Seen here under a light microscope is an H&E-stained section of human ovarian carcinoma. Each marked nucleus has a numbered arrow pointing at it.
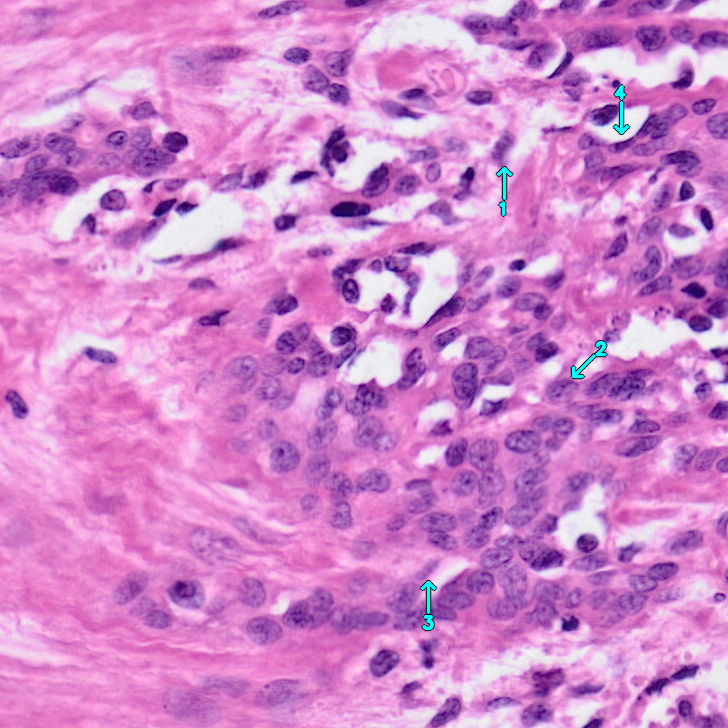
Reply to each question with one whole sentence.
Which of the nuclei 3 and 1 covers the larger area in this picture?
Of the two, number 1 is bigger and takes up about 1.5 times the area of number 3.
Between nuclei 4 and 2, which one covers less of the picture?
The smaller nucleus is 4, and 2 covers roughly 2 times its area.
